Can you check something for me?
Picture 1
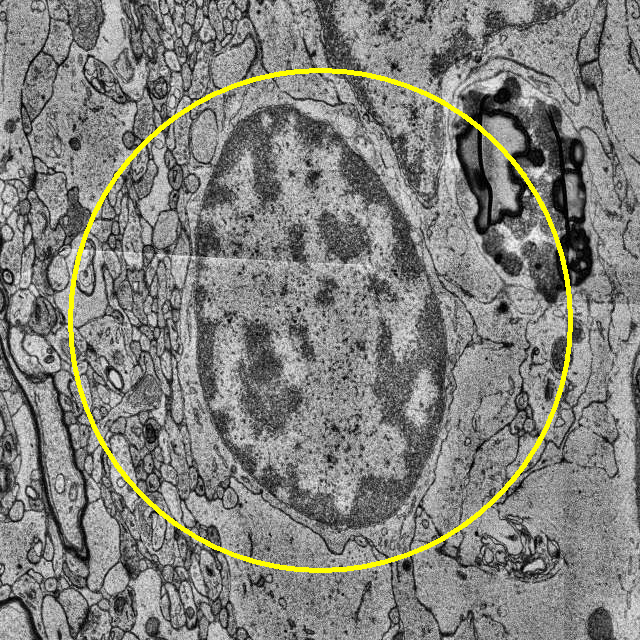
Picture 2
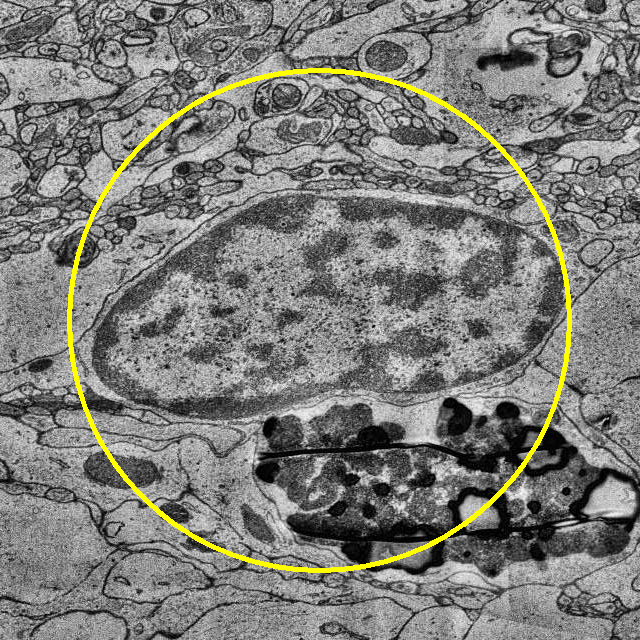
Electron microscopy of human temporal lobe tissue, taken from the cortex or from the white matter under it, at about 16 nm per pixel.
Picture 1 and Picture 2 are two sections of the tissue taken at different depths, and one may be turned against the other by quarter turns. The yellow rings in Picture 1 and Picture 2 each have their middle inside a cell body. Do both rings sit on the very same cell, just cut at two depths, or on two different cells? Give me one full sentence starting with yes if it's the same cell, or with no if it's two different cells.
Yes, the cell marked in each ring is one and the same.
